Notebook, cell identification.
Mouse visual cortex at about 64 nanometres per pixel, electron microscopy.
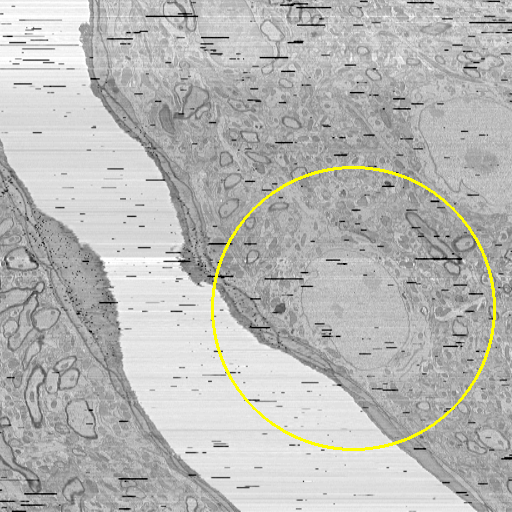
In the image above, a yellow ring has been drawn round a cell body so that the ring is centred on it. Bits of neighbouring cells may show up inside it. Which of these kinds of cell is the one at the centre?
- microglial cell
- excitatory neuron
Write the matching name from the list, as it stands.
excitatory neuron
